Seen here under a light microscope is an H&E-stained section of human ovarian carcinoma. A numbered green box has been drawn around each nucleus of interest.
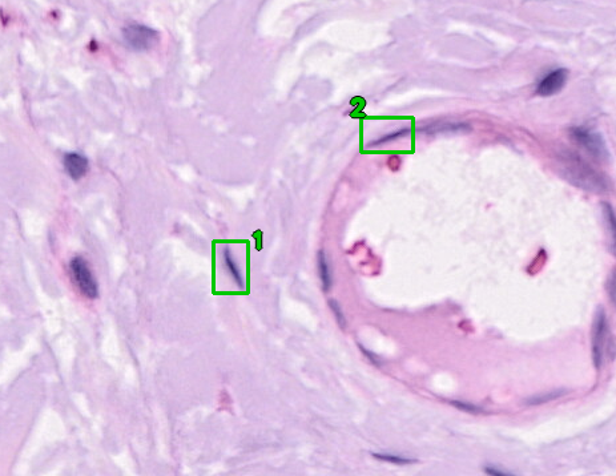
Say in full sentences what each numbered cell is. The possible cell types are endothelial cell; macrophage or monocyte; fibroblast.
Cell 1 is a fibroblast and cell 2 is an endothelial cell.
